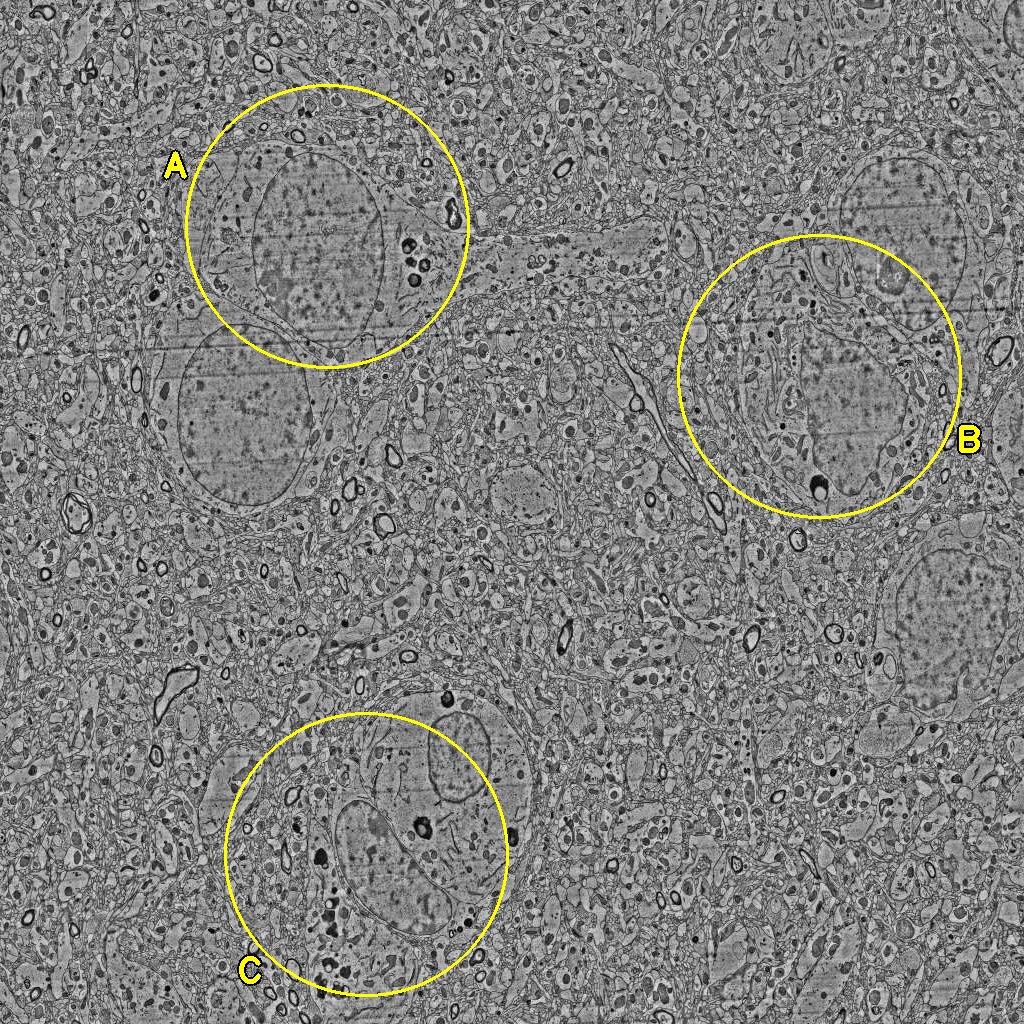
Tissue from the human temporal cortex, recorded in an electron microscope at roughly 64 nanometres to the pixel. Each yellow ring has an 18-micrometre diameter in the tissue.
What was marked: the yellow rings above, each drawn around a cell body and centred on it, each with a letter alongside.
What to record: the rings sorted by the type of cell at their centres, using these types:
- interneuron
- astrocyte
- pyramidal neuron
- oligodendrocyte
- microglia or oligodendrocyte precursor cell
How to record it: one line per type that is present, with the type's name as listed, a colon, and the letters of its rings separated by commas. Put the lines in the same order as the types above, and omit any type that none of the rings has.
interneuron: B
pyramidal neuron: A
microglia or oligodendrocyte precursor cell: C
